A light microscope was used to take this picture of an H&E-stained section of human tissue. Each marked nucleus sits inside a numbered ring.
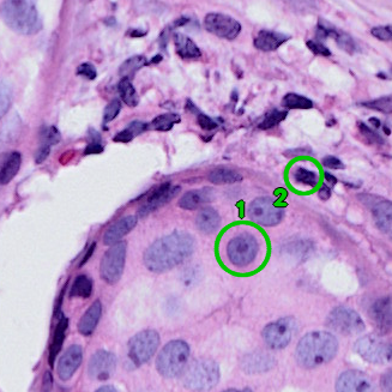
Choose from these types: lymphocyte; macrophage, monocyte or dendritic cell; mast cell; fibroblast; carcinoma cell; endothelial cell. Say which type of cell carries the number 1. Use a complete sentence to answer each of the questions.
Nucleus 1 in this section belongs to a carcinoma cell.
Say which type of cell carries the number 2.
In this section, the cell tagged 2 is a lymphocyte.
